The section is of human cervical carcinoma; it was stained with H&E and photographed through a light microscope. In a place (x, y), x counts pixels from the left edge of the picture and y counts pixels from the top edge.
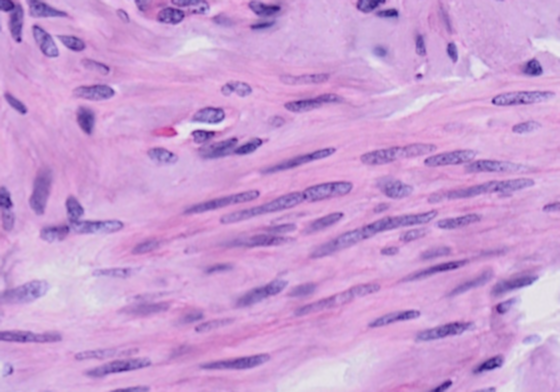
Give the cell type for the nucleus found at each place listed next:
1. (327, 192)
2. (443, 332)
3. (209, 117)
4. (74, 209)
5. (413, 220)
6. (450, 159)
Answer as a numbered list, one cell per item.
1. smooth muscle cell
2. fibroblast
3. endothelial cell
4. fibroblast
5. smooth muscle cell
6. smooth muscle cell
